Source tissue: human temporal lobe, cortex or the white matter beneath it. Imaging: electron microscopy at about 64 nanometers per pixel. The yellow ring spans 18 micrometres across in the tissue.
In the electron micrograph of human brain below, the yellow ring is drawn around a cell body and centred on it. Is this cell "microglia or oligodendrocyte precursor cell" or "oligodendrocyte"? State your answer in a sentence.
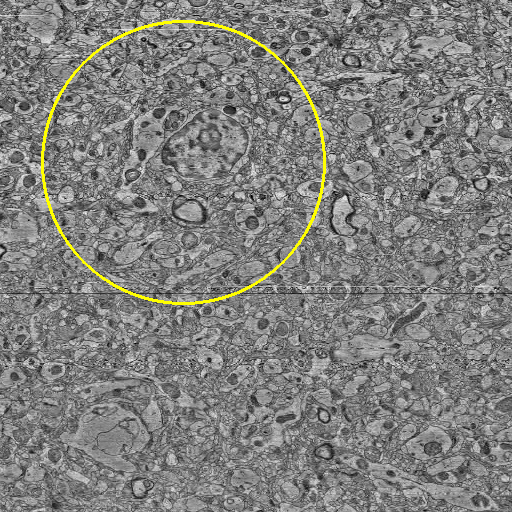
The cell in the middle of the ring is a microglial cell or oligodendrocyte precursor cell.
